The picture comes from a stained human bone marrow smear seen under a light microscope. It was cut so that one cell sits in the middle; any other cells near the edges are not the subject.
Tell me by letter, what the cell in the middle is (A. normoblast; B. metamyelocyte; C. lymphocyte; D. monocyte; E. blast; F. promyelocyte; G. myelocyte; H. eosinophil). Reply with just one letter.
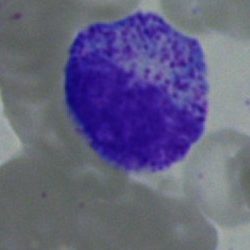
G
